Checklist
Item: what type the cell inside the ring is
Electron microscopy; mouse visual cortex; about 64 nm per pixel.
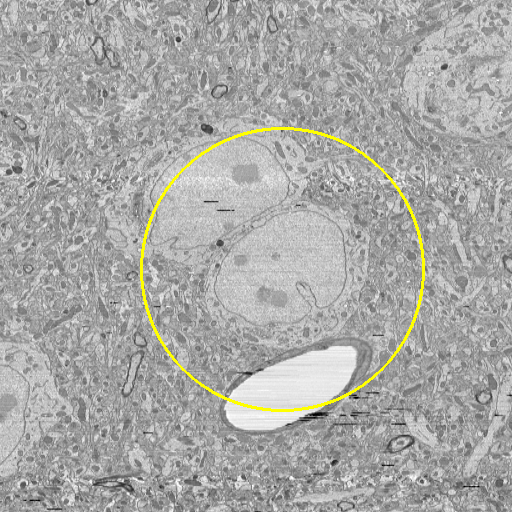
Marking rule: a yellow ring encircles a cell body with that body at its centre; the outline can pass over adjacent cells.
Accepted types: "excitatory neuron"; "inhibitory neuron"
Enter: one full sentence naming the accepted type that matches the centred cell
The entry is that an excitatory neuron lies at the centre of the yellow ring.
